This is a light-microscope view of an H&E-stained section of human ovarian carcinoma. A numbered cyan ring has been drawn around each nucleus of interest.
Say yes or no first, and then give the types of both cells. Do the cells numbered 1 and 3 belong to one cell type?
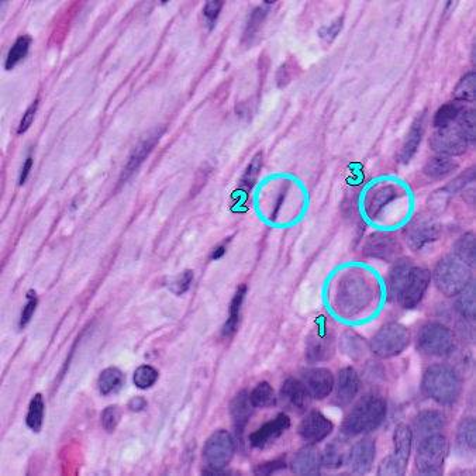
No, the cell labelled 1 is a carcinoma cell; the cell labelled 3 is a fibroblast.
